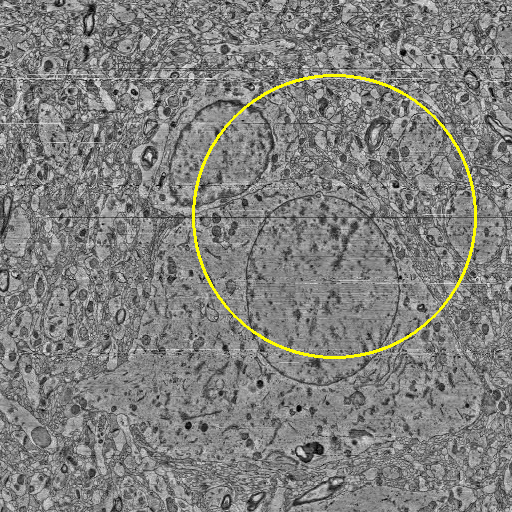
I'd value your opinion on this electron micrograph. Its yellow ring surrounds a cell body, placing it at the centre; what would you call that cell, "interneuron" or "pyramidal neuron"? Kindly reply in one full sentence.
It is a pyramidal neuron that sits centred within the yellow ring in this micrograph.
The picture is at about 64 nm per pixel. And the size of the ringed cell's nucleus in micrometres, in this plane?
Roughly 14 by 10 micrometres is the size of the nucleus in this plane.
